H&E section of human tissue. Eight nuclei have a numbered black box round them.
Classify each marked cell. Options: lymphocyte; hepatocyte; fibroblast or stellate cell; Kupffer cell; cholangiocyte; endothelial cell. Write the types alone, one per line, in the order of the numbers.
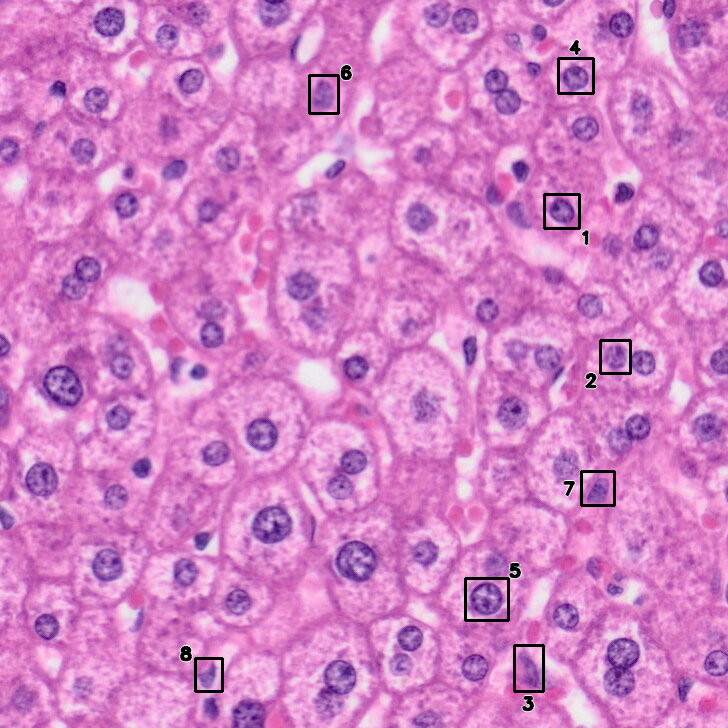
hepatocyte
hepatocyte
Kupffer cell
hepatocyte
hepatocyte
hepatocyte
endothelial cell
endothelial cell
